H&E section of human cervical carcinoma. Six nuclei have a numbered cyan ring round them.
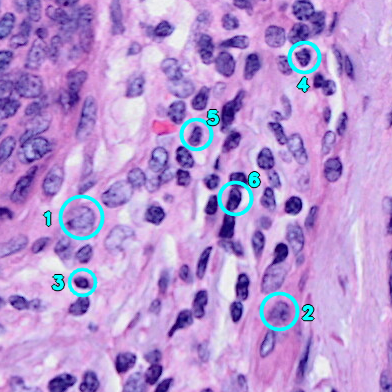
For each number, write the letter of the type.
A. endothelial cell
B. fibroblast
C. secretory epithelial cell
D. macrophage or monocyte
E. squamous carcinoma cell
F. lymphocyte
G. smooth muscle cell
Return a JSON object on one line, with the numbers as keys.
{"1": "A", "2": "A", "3": "F", "4": "F", "5": "F", "6": "F"}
